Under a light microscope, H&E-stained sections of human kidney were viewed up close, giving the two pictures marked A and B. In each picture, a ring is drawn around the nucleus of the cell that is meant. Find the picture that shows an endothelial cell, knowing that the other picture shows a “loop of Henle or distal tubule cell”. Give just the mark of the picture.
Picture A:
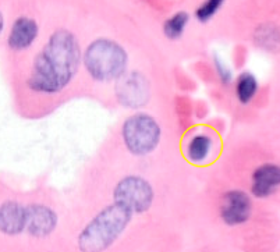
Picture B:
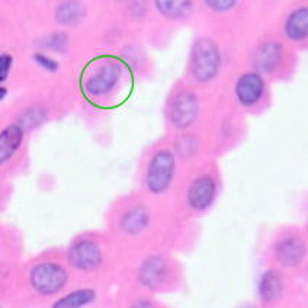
A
